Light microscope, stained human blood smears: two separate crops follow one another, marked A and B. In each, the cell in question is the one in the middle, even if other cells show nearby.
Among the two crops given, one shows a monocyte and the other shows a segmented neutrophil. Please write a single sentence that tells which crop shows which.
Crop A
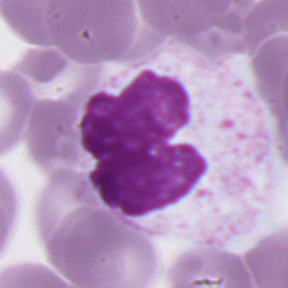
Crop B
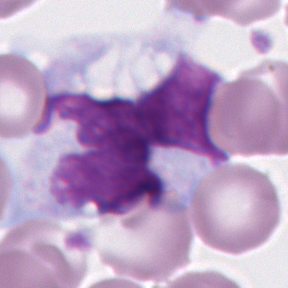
Crops A and B are, respectively, a segmented neutrophil and a monocyte.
